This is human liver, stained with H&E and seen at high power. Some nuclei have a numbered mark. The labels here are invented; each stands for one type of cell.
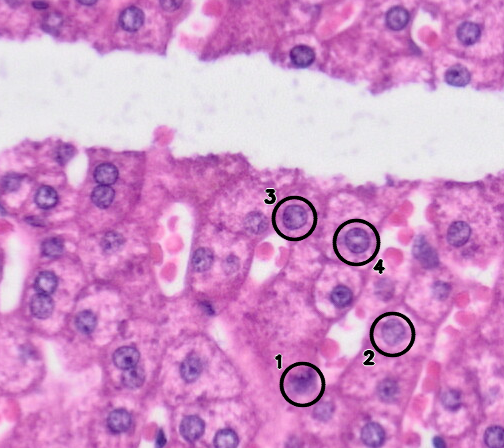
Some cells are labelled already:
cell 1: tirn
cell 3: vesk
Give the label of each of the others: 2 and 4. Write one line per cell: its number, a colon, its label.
2: vesk
4: vesk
